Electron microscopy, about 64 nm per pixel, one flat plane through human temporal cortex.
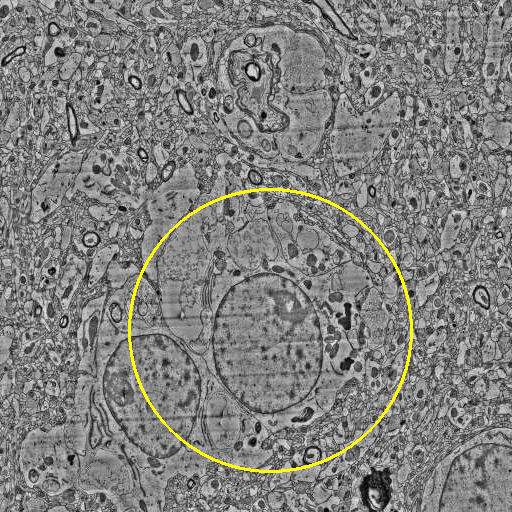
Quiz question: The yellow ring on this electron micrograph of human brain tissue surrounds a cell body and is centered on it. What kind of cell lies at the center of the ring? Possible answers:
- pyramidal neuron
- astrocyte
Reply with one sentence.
The ring's center lies on an astrocyte.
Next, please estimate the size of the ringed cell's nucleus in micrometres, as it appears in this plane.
In this plane the nucleus is about 9 micrometres by 7.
